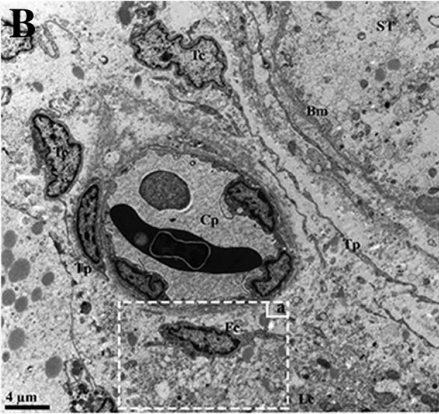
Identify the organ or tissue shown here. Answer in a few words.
Interstitium.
